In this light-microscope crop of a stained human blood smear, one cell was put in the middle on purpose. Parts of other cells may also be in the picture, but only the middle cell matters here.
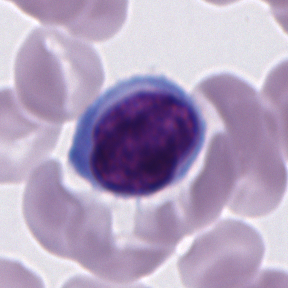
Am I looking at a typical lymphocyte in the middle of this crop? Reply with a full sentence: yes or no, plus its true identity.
Yes, this crop has a typical lymphocyte at its centre.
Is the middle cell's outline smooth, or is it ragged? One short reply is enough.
From every side, the cell boundary is smooth and free of projections.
